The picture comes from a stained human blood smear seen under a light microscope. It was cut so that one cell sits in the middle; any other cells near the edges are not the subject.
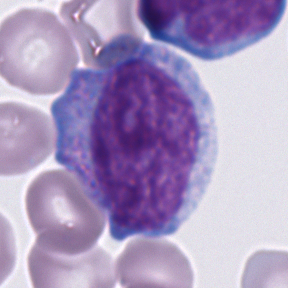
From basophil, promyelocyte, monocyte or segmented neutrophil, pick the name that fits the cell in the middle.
promyelocyte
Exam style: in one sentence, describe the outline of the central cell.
As for its outline, the cell is irregular, ragged or drawn into projections.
